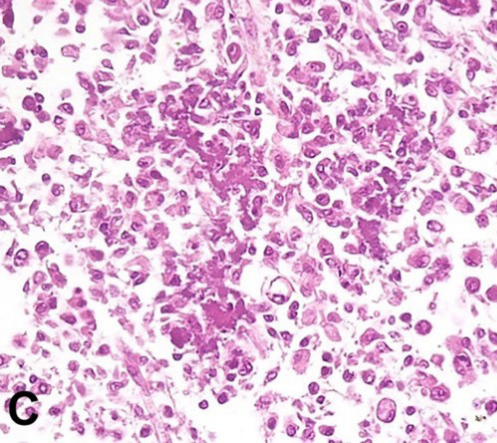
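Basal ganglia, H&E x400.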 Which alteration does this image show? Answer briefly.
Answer: Calcification.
